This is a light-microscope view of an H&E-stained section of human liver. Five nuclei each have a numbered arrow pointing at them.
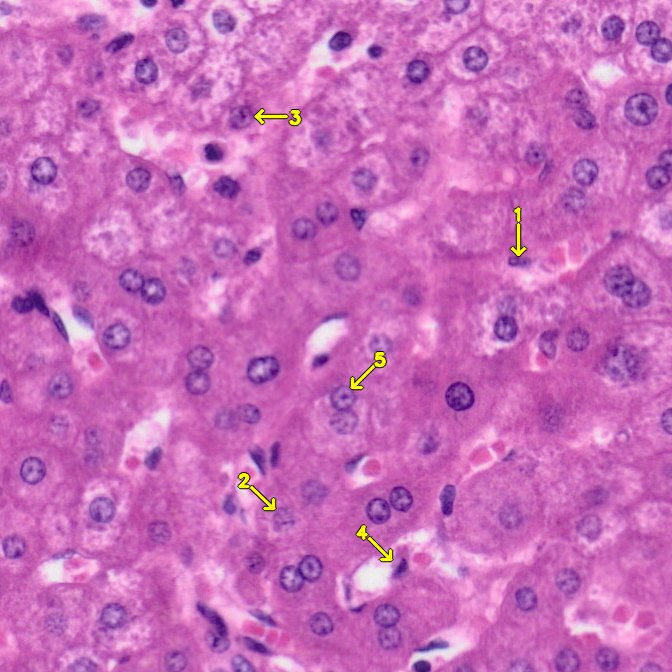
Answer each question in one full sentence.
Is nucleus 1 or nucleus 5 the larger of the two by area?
It is nucleus 5, which covers about 2 times the area of nucleus 1.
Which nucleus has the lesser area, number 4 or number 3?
It is nucleus 4; nucleus 3 has about 2.5 times its area.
